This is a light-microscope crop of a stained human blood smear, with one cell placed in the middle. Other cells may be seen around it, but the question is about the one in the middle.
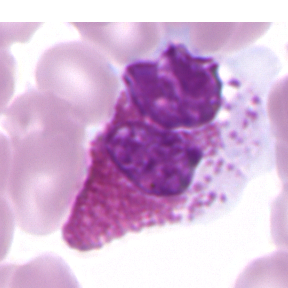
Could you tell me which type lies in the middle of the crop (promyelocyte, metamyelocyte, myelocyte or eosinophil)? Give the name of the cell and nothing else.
eosinophil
